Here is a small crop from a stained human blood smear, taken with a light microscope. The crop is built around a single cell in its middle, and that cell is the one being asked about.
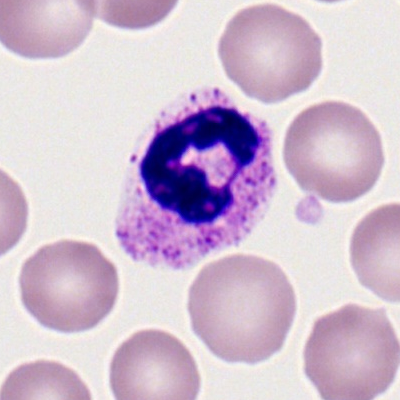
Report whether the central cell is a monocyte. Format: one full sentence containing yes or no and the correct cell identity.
No, at the middle of the crop is a neutrophil, not a monocyte.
